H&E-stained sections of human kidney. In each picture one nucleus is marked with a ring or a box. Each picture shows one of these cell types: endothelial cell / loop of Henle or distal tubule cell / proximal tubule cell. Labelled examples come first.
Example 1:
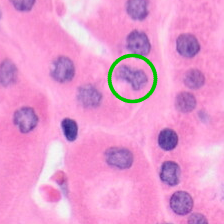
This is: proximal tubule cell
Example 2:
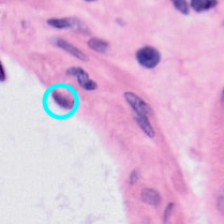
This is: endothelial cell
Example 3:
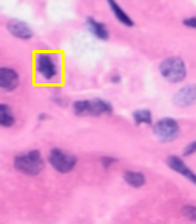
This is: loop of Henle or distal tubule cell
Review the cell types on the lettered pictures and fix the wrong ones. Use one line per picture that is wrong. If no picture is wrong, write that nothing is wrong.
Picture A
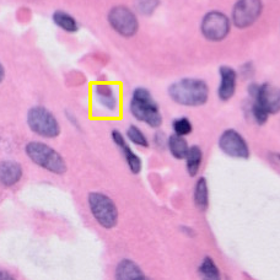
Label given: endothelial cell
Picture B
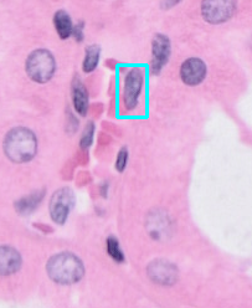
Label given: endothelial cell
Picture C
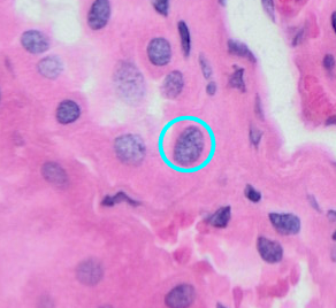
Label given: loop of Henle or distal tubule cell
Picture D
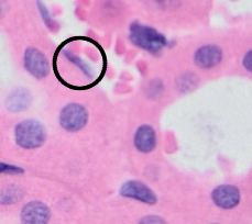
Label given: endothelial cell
Every label is right.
